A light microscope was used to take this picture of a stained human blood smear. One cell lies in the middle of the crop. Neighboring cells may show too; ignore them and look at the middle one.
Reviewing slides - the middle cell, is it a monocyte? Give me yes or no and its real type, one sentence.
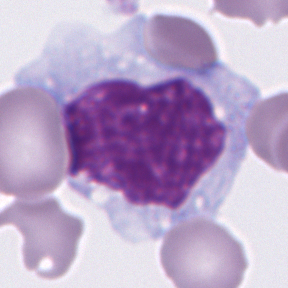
Yes, the centered cell in this field is a monocyte.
